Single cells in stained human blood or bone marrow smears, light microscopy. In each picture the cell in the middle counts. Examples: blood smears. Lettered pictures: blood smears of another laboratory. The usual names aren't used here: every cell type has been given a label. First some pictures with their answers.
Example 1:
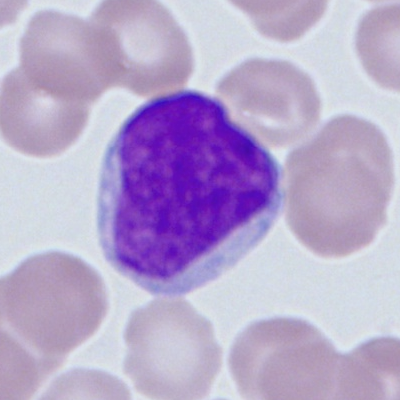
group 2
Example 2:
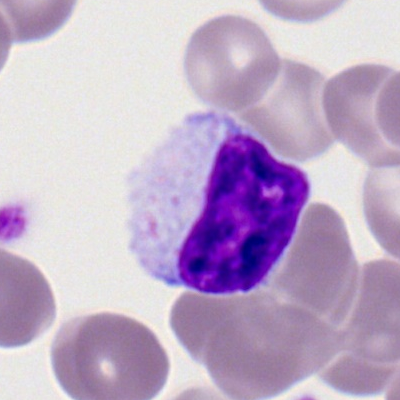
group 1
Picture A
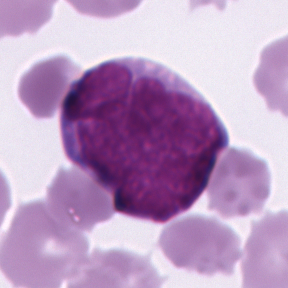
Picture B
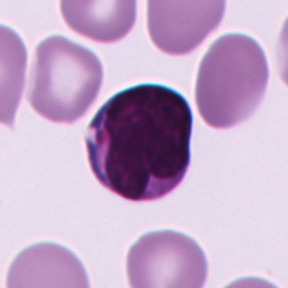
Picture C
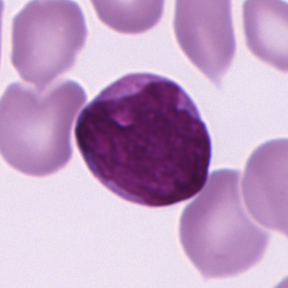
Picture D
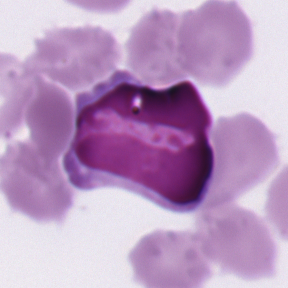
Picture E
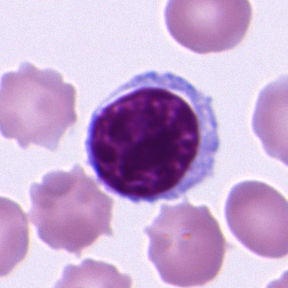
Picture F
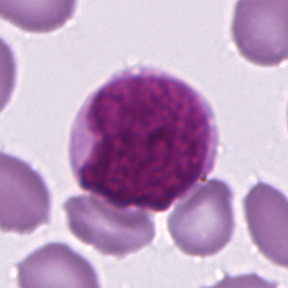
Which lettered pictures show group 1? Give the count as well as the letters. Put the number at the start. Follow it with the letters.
2, namely B, E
